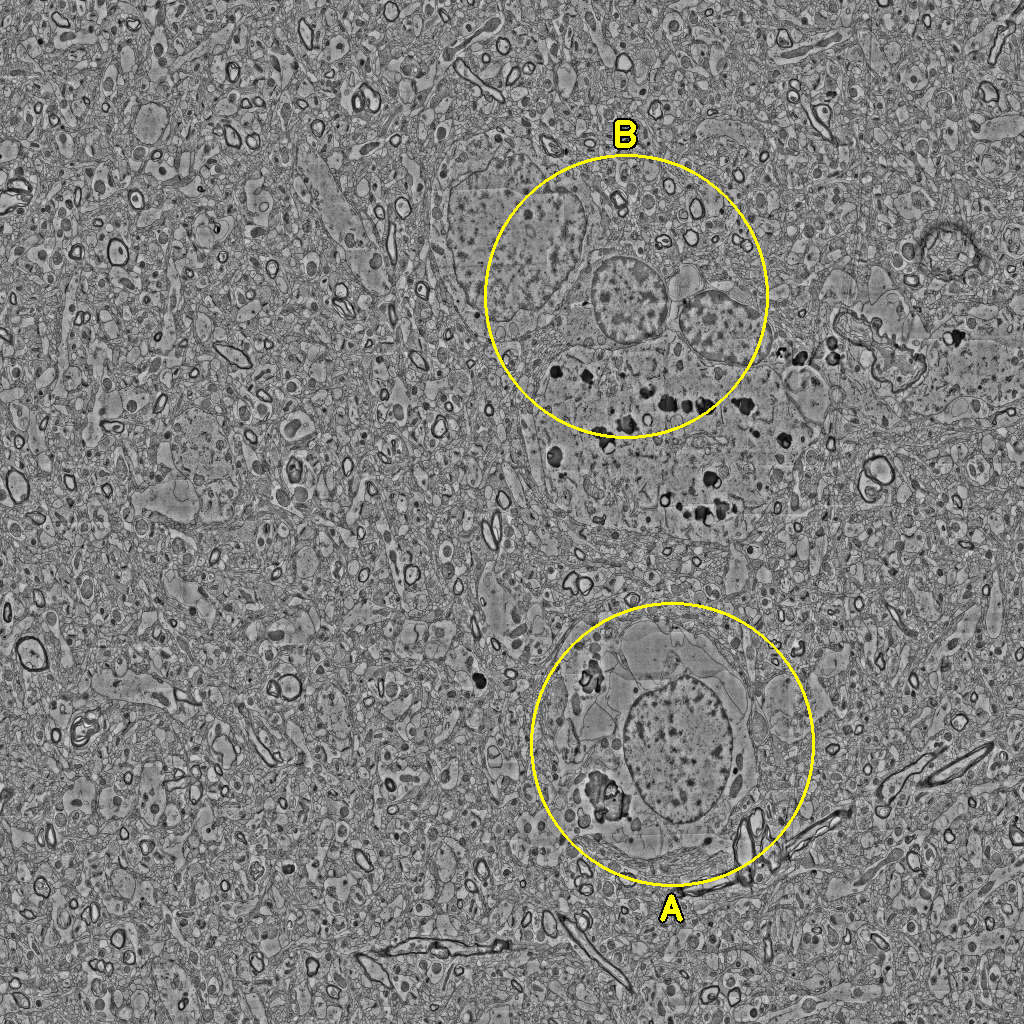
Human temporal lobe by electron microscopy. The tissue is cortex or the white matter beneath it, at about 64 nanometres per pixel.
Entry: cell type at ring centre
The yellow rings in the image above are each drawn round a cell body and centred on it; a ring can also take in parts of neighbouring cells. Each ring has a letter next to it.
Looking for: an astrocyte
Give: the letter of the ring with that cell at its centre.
A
